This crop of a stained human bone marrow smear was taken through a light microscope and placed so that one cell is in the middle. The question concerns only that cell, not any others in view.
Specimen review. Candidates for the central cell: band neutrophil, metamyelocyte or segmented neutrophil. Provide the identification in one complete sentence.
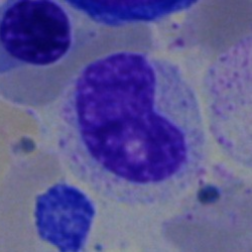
The crop's centre is taken up by a metamyelocyte.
